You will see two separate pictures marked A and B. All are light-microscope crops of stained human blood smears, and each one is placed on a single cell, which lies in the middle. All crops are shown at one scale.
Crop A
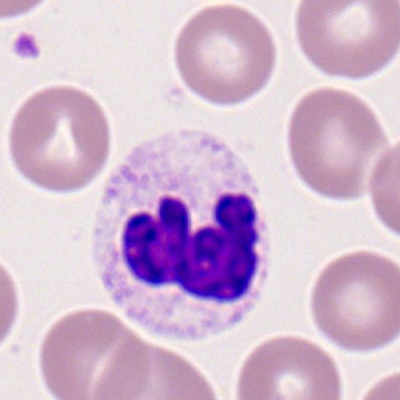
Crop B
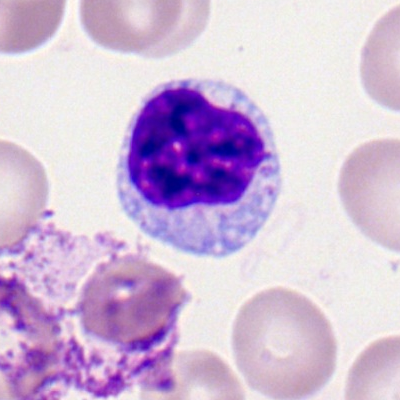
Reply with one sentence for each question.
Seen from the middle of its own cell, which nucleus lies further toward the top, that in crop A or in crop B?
Seen within its cell, the nucleus in crop B lies further toward the top.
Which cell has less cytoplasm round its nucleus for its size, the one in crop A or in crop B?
In crop B the nucleus takes up the larger part of its cell.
